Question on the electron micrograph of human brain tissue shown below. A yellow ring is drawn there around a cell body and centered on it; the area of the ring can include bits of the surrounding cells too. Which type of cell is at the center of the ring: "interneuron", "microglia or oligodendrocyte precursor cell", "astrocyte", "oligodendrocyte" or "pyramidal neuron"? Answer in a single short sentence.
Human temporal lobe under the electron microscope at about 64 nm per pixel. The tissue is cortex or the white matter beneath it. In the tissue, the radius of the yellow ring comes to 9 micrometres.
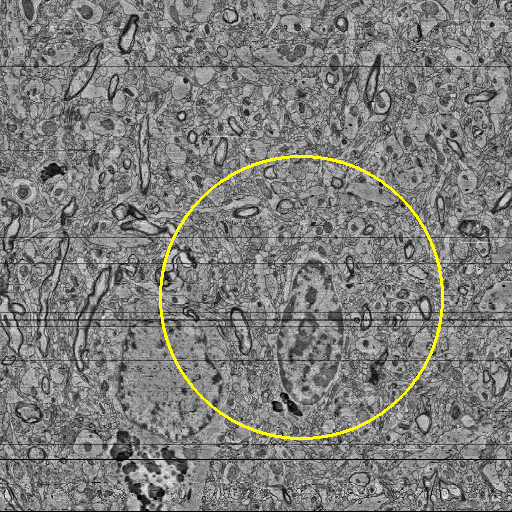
The ring is centered on a microglial cell or oligodendrocyte precursor cell.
